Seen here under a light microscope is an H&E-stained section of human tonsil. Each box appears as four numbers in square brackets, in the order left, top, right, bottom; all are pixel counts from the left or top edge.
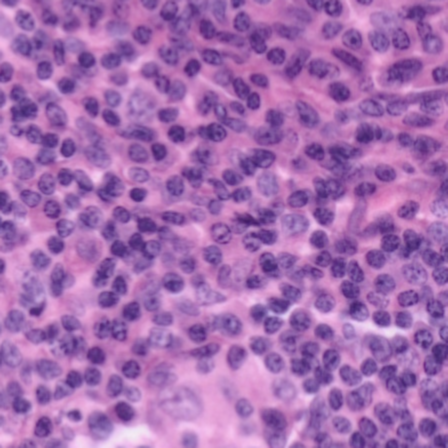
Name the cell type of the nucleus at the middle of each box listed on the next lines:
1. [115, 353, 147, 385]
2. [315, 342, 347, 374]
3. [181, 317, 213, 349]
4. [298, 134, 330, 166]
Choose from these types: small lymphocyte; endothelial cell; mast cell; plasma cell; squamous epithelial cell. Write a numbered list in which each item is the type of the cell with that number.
1. plasma cell
2. small lymphocyte
3. plasma cell
4. plasma cell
